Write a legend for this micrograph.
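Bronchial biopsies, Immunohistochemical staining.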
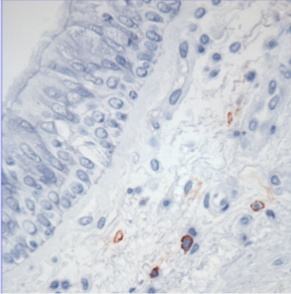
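On the left the lining epithelium forms a thick band of columnar cells whose blue oval nuclei lie crowded at several heights. To the right and below lies the submucosa, a looser connective tissue with fewer, more widely spaced nuclei and pale fibres between them. Scattered in this connective tissue are cells whose cytoplasm is coloured brown around a blue nucleus; they are oval or somewhat elongated and lie singly.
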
